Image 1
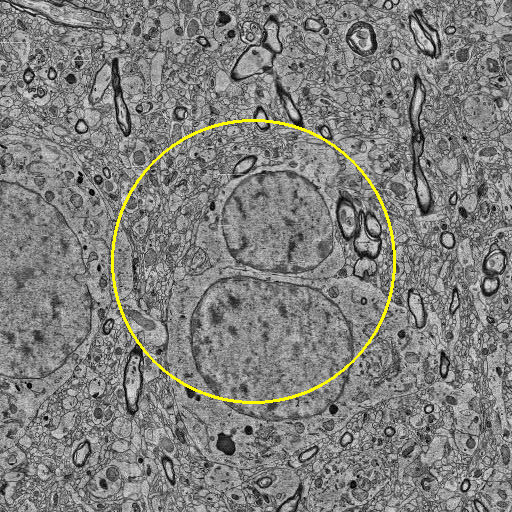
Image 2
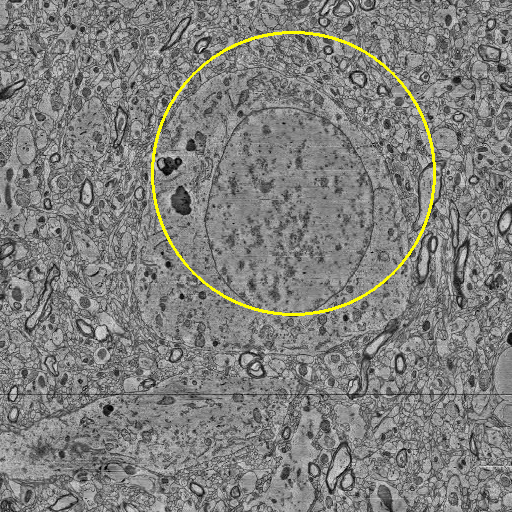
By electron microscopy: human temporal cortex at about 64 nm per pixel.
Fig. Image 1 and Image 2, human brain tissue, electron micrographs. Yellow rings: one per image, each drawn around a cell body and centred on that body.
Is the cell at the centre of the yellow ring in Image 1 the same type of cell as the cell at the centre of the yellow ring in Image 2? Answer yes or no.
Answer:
no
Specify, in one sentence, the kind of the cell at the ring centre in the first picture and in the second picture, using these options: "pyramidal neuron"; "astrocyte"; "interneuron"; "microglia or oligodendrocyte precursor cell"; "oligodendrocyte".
So the first is a microglial cell or oligodendrocyte precursor cell, the second a pyramidal neuron.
